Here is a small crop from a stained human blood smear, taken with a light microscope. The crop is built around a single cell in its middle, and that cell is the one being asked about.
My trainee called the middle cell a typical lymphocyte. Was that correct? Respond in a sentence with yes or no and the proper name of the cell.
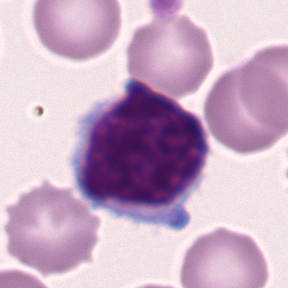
Yes, the cell sitting in the center is a typical lymphocyte.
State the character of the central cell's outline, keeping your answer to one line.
The boundary of the cell runs irregularly, ragged in parts or drawn into projections.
